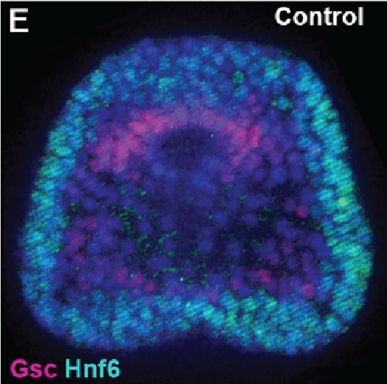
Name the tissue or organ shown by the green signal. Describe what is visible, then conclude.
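Ciliated band ectoderm. Green nuclei form a continuous band around the outer edge of the embryo. The band encircles a central region of blue nuclei lacking green.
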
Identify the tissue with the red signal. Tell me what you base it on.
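Oral ectoderm. Red nuclei lie in the central field inside the green band. Red nuclei form an arc in the upper part of the central field.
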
